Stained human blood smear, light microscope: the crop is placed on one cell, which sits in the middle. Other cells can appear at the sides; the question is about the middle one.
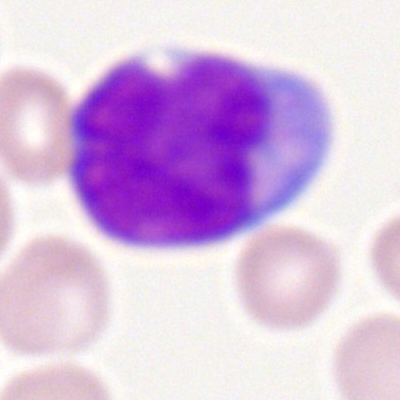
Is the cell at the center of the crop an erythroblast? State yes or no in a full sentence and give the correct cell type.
No, the middle cell is actually a myeloblast rather than an erythroblast.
